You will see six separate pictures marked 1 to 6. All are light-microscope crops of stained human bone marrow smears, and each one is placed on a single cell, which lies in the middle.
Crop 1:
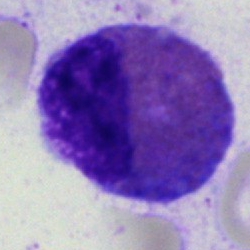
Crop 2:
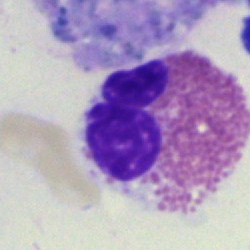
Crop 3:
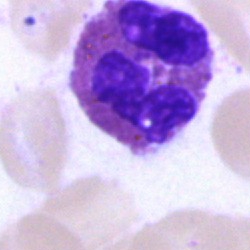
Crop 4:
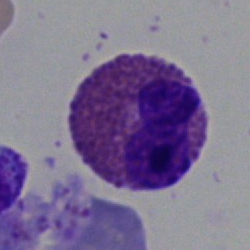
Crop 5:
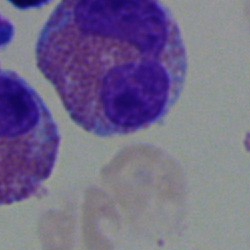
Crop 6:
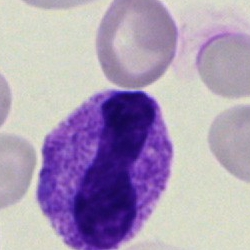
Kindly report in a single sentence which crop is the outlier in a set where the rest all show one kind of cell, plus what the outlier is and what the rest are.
Crop 6 is not like the others: it is a band neutrophil, and they are eosinophils.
